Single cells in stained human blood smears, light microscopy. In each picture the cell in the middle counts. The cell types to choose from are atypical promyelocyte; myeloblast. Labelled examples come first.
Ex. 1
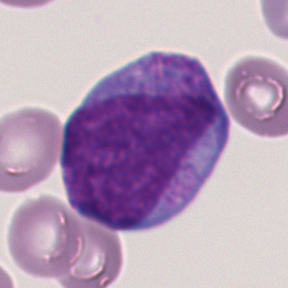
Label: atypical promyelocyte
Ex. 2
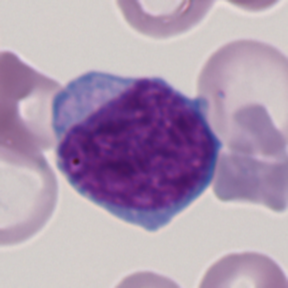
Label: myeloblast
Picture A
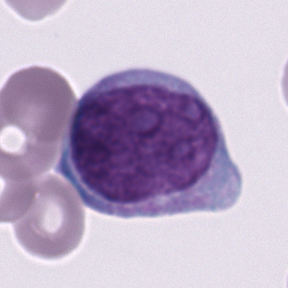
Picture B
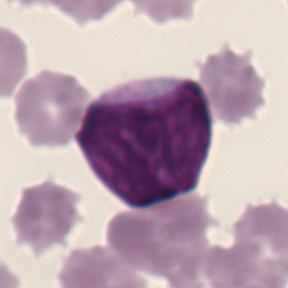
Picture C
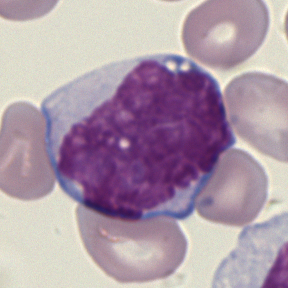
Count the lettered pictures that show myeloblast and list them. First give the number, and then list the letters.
2, namely B, C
